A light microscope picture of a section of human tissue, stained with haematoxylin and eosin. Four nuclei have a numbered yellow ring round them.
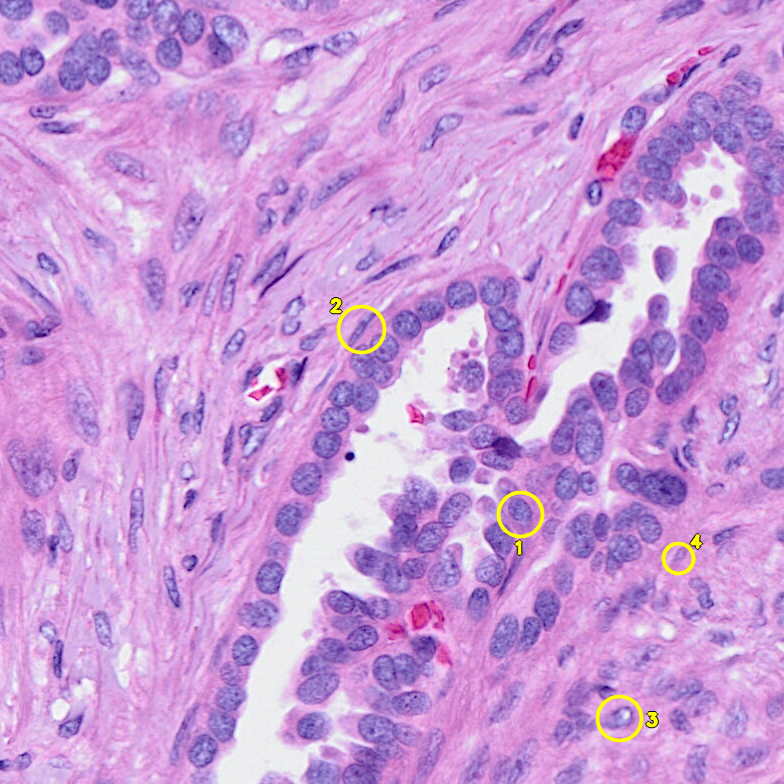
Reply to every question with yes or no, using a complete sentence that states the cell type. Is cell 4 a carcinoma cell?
No, cell 4 is identified not as a carcinoma cell but as a fibroblast.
